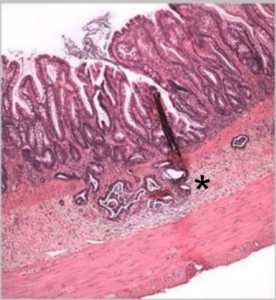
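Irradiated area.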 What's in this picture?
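Colonic mucosa with irregular, branched and partly dilated crypts. Beneath the mucosa, in a widened submucosa, lie misplaced epithelial glands, some cystically dilated, marked by an asterisk.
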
